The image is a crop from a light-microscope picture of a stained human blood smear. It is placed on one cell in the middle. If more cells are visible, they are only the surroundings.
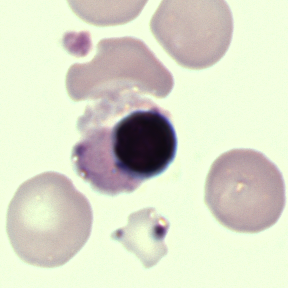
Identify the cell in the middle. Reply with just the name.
normoblast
